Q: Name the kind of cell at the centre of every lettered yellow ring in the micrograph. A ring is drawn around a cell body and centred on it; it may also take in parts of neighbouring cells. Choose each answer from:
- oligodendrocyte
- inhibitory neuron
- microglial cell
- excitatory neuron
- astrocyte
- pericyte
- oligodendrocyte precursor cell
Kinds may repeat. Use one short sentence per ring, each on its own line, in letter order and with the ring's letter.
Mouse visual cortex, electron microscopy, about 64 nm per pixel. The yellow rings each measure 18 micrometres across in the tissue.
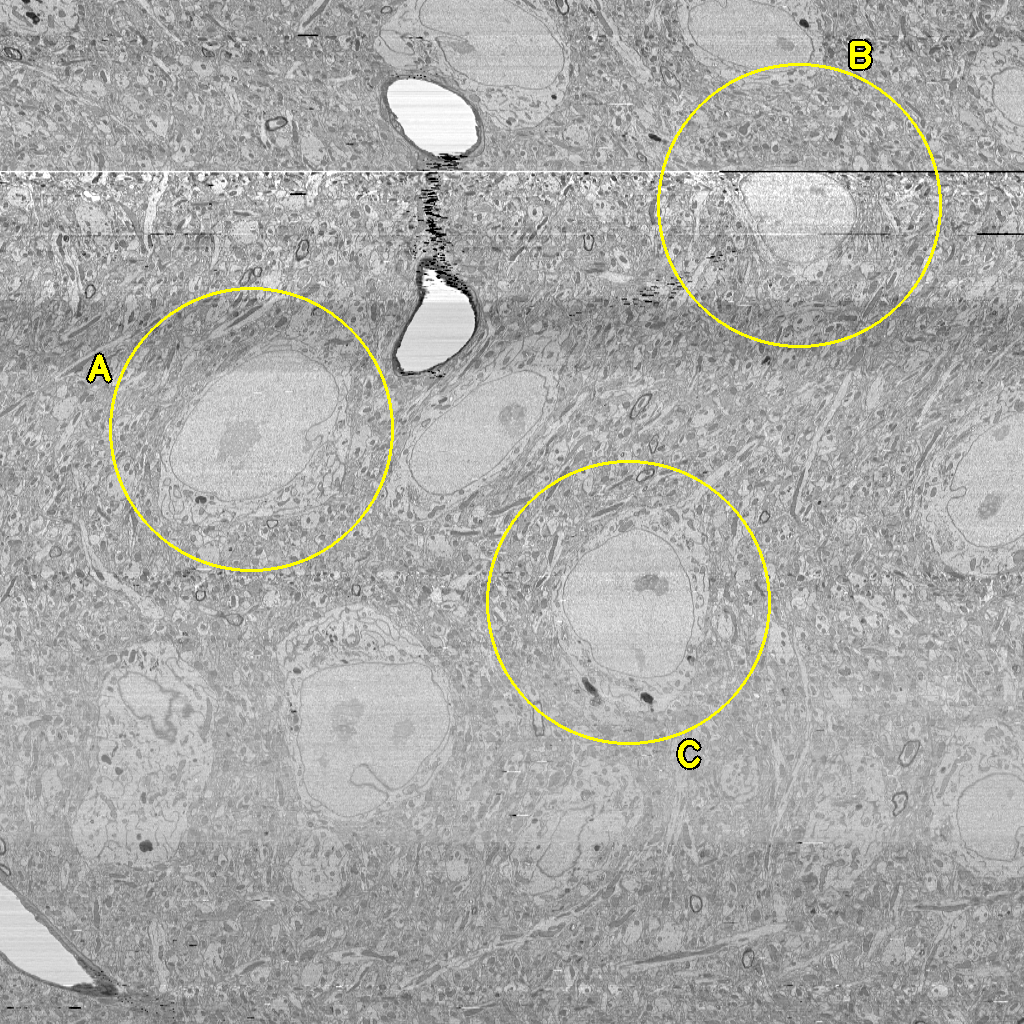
Ring A is placed around an inhibitory neuron.
Ring B is placed around an astrocyte.
Ring C is placed around an excitatory neuron.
